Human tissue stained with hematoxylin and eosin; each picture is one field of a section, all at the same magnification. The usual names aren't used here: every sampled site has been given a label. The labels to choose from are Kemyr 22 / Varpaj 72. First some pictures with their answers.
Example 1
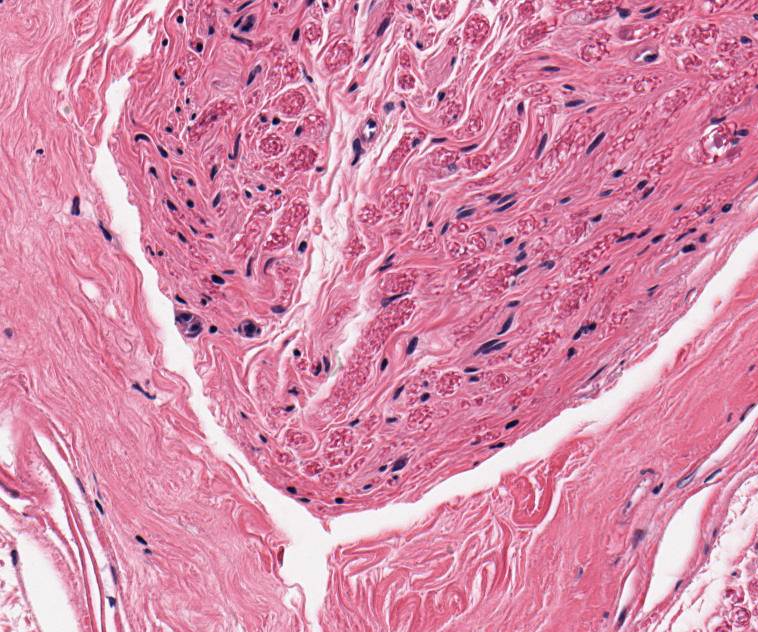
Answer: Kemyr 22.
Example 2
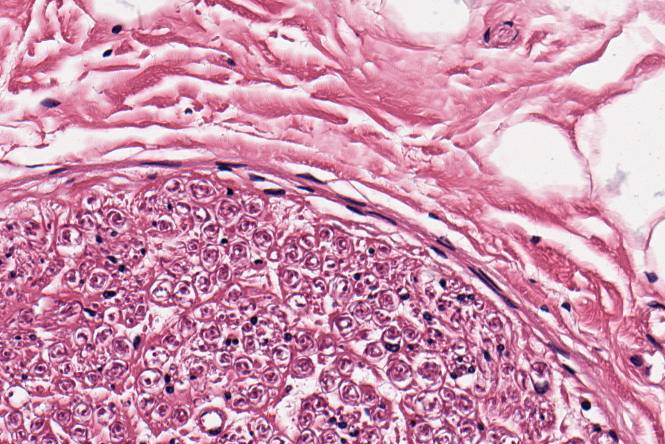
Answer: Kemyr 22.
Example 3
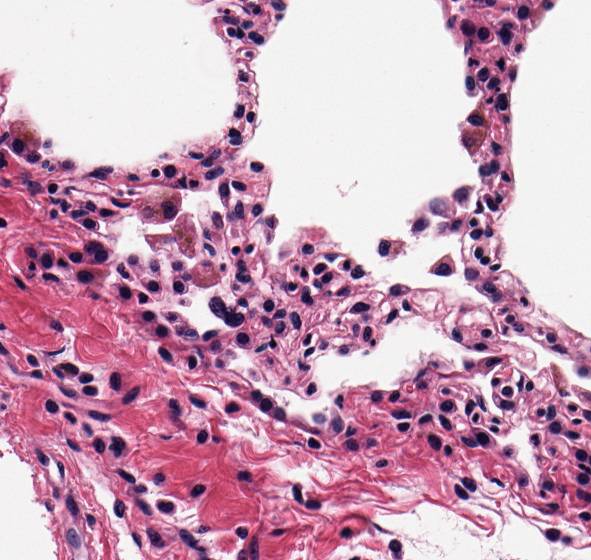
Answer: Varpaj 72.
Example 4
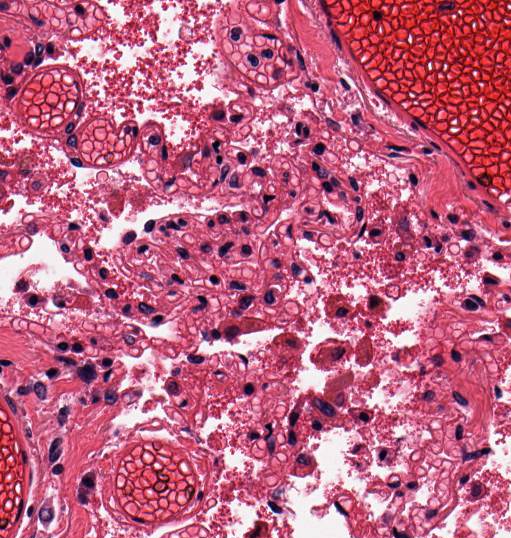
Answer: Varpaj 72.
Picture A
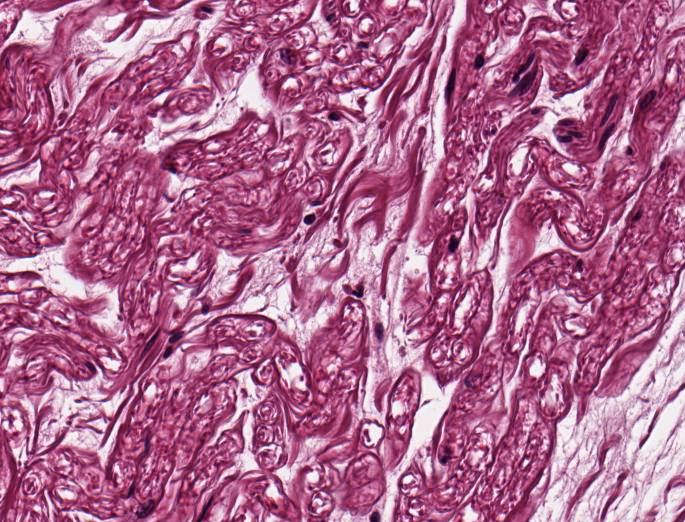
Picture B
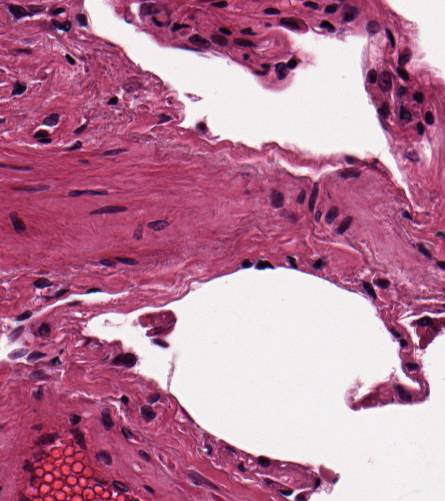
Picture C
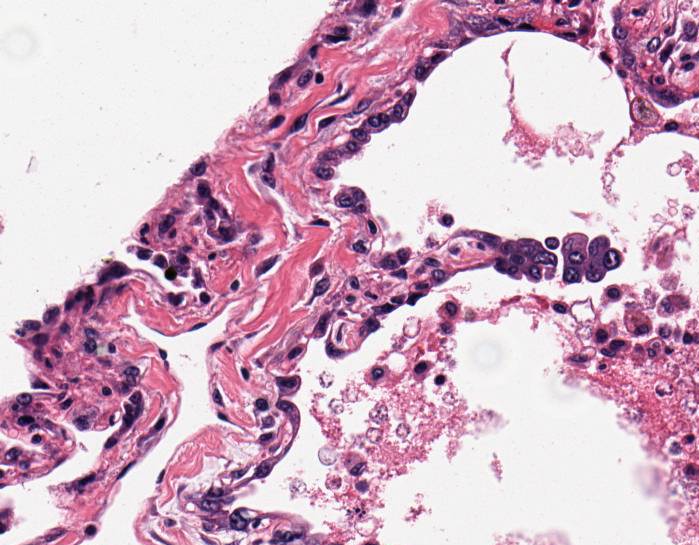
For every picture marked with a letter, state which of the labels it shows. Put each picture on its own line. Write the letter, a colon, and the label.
A: Kemyr 22.
B: Varpaj 72.
C: Varpaj 72.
